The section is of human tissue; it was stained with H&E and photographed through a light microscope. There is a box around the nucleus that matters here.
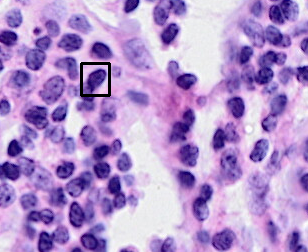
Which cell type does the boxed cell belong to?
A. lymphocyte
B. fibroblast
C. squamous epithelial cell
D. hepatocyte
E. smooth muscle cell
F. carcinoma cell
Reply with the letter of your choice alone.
A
